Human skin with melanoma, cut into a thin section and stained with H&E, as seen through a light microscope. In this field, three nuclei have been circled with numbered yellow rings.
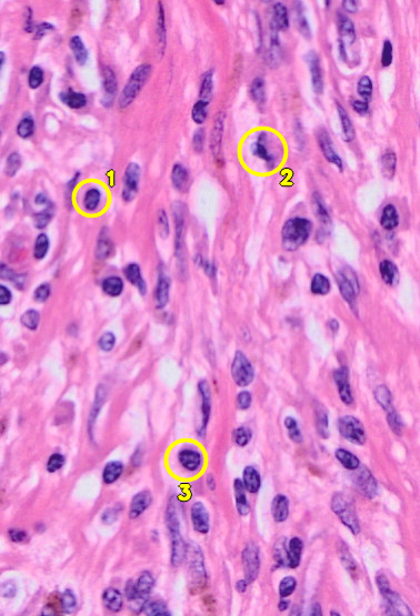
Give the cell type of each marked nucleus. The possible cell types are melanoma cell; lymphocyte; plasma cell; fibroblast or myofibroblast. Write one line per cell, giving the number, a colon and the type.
1: lymphocyte
2: lymphocyte
3: plasma cell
